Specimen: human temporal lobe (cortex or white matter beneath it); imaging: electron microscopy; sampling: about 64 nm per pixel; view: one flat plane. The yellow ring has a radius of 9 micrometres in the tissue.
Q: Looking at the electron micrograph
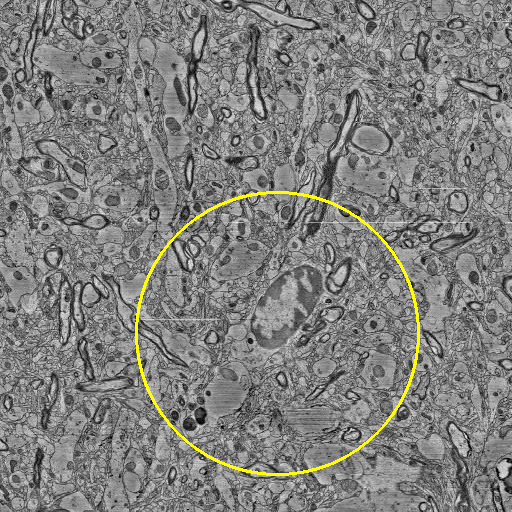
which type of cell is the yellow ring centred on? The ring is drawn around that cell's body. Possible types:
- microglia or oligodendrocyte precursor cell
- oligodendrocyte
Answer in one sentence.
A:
The yellow ring is centred on a microglial cell or oligodendrocyte precursor cell.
